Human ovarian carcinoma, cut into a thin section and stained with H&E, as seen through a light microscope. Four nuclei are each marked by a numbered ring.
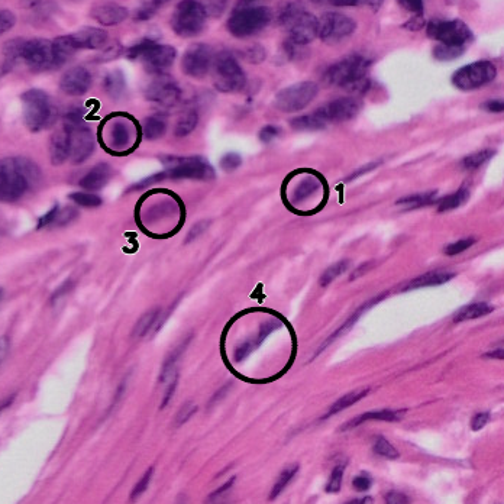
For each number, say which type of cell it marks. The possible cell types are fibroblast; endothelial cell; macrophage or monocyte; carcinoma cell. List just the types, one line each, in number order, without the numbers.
fibroblast
carcinoma cell
fibroblast
fibroblast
